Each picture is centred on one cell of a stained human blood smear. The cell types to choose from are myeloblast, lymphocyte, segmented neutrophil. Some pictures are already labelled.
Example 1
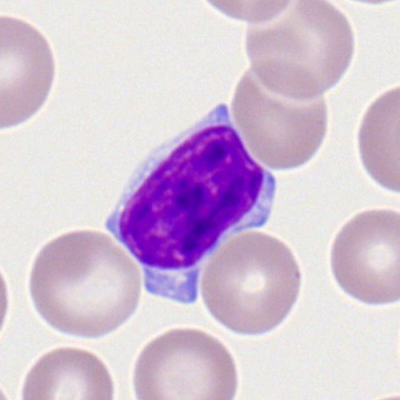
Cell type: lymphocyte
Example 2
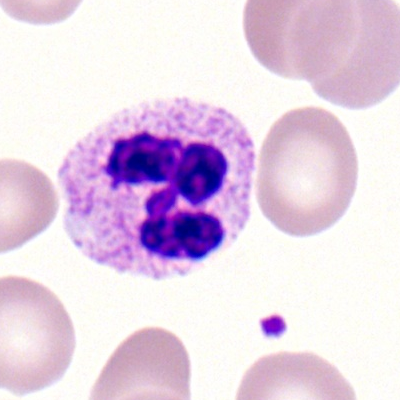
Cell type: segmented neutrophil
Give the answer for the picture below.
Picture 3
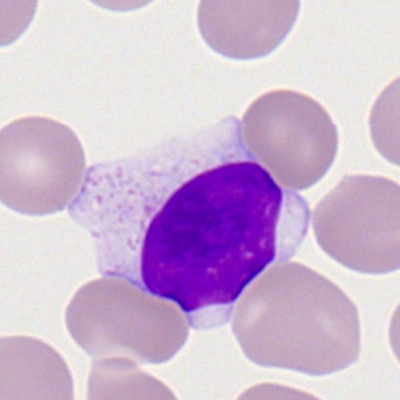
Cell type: lymphocyte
